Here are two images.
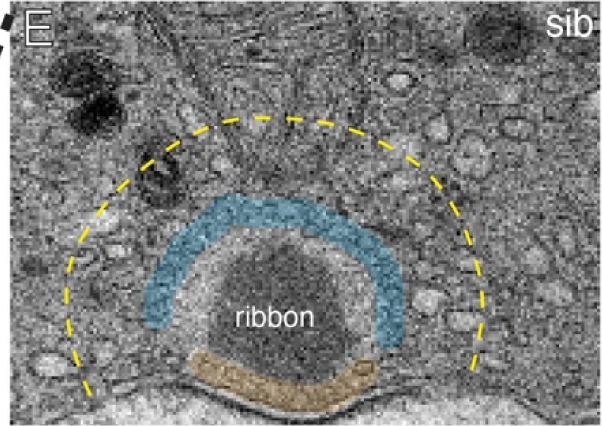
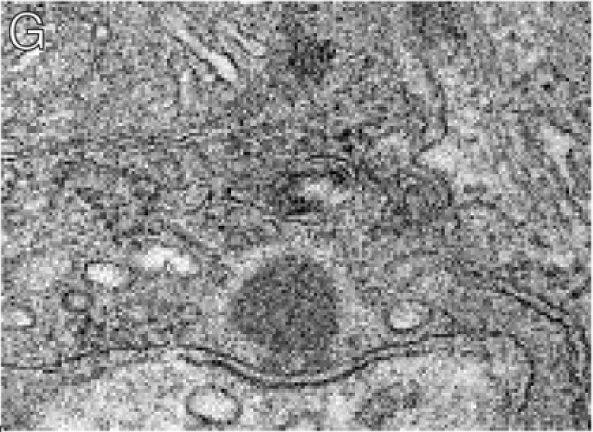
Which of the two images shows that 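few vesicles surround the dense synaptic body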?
the second image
